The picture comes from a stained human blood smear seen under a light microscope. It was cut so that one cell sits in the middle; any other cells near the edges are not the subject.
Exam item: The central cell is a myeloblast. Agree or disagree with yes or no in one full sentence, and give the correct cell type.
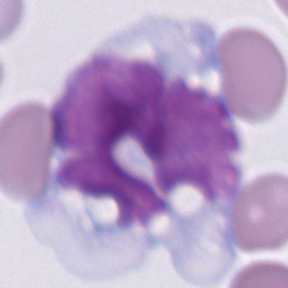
No, the identification should read a monocyte, not a myeloblast, for the central cell.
